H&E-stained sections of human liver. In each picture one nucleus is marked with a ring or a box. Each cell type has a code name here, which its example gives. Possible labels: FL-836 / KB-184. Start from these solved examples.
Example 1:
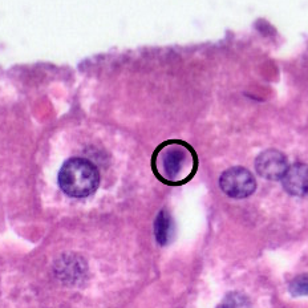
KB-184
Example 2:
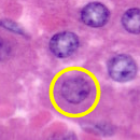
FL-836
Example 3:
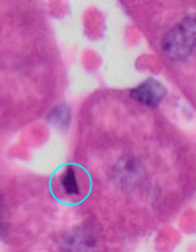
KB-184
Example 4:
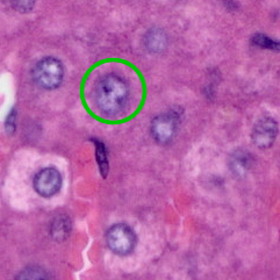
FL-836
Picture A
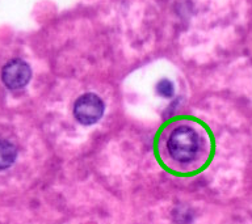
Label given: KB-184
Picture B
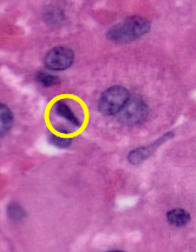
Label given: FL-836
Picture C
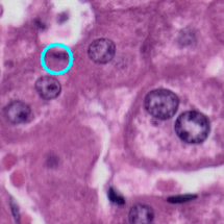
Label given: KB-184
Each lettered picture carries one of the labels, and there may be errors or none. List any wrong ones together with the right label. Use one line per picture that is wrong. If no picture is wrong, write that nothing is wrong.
A: FL-836, not KB-184
B: KB-184, not FL-836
